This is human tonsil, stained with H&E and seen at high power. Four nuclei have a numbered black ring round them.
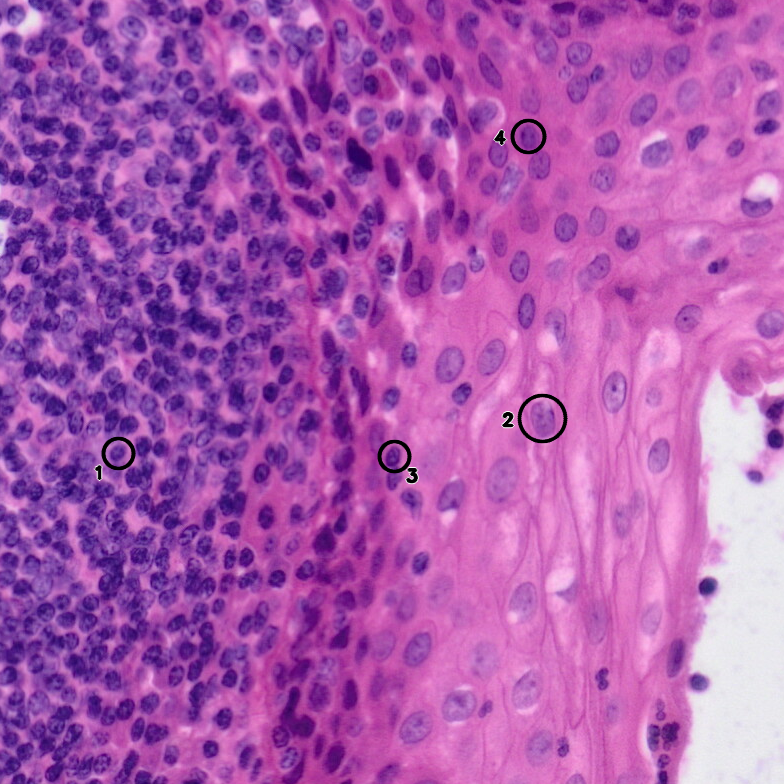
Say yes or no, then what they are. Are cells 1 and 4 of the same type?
No, as to type, cell 1 is a small lymphocyte, and cell 4 is a squamous epithelial cell.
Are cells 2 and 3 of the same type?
Yes, cells 2 and 3 are both squamous epithelial cells.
